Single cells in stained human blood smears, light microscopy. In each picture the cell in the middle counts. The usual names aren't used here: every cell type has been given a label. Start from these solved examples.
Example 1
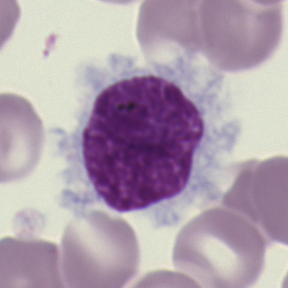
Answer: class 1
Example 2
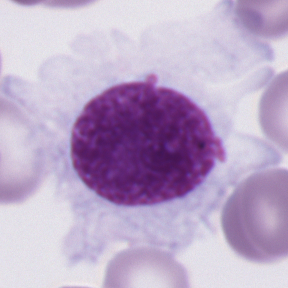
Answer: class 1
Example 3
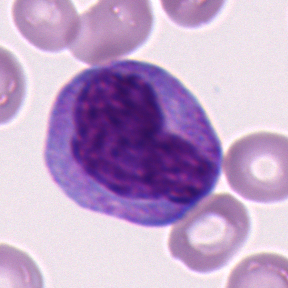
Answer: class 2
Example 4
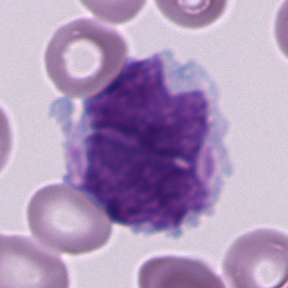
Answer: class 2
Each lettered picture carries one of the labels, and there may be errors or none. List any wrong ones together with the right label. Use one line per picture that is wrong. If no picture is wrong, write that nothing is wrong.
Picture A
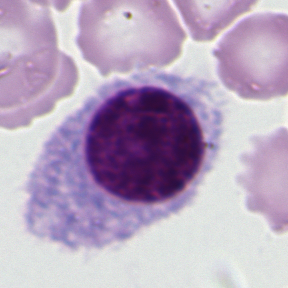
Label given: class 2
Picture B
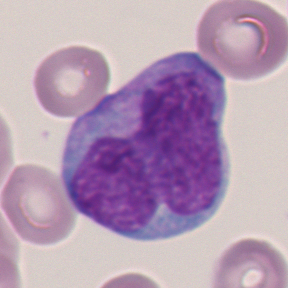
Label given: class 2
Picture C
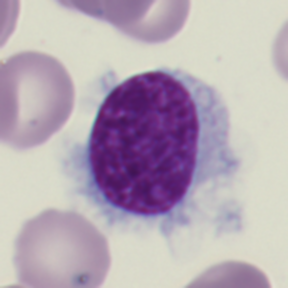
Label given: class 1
A: class 1, not class 2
